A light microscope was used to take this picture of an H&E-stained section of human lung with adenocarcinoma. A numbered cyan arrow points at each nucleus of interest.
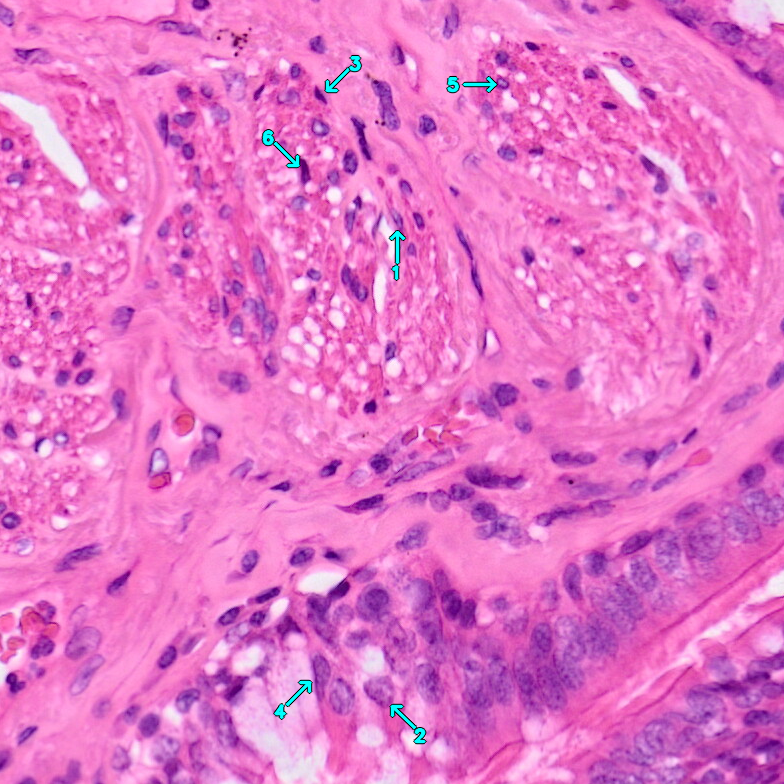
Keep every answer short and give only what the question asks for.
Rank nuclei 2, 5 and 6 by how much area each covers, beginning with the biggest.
2, 6, 5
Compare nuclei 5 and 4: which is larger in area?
4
